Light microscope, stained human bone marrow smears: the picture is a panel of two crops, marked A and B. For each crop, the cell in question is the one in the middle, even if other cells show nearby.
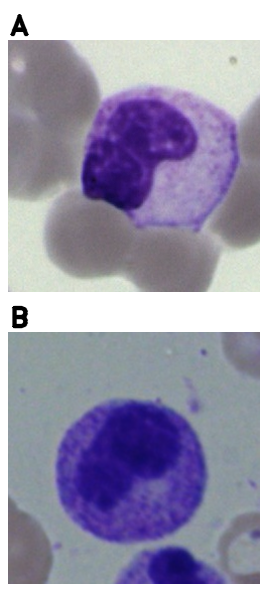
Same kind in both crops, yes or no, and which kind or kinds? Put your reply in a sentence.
Yes, both crops show metamyelocytes, and that holds for each one.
